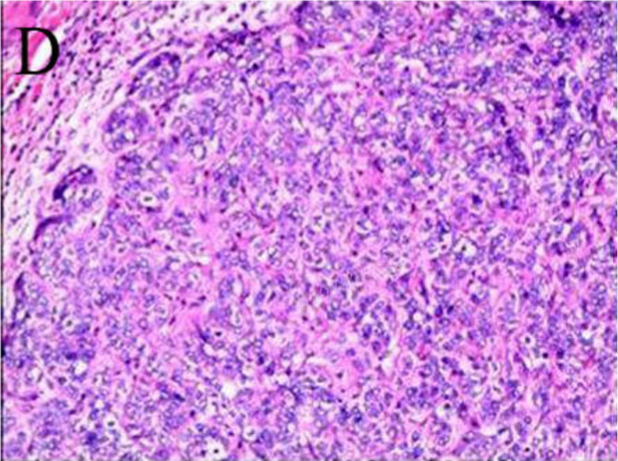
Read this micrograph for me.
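Tumor tissue packed with densely crowded epithelial-looking cells in sheets and vague nests. The nuclei are oval to rounded, vesicular and crowded, stained purple-blue. Cells have scant to moderate pink cytoplasm with poorly defined borders. Thin pink fibrous strands separate the cell groups. Along the upper left edge, a band of paler pink stroma holds more spindle-shaped nuclei.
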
